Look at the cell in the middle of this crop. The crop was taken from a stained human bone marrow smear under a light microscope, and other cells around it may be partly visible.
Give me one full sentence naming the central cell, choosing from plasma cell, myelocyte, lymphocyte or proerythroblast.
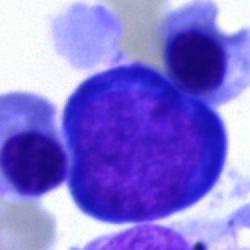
The central cell shown in this smear crop is a proerythroblast.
